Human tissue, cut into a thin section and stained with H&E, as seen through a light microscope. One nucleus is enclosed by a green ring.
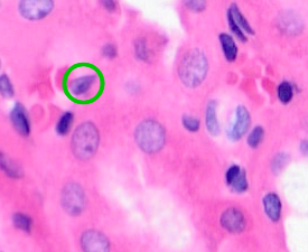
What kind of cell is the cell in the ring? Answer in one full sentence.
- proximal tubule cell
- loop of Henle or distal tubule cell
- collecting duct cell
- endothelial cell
In this preparation, the cell in the ring is an endothelial cell.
